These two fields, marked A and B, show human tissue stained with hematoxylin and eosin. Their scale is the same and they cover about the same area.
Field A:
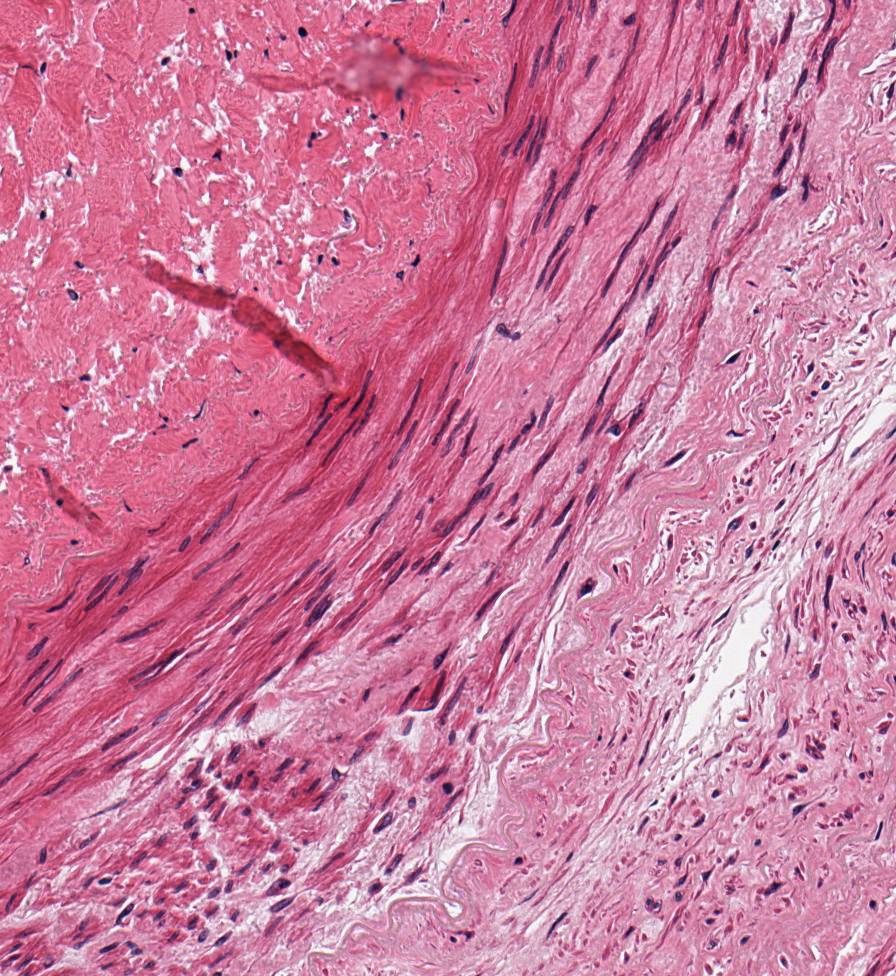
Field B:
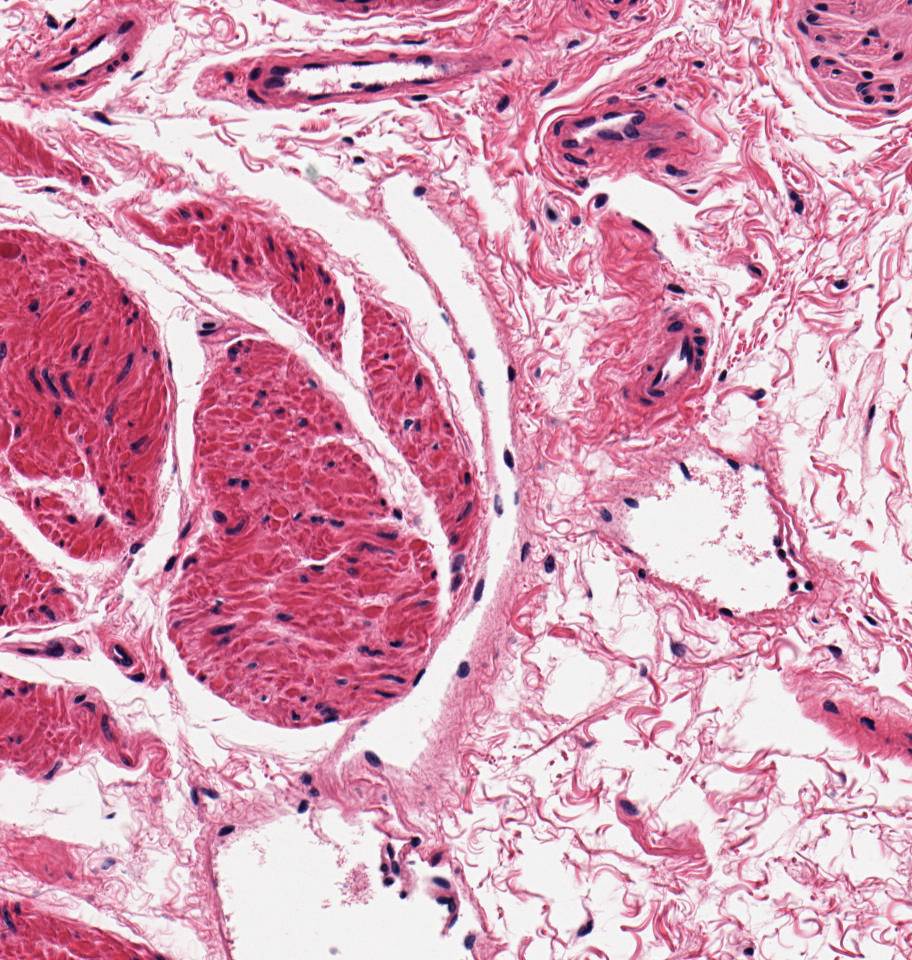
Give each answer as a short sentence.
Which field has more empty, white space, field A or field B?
Field B has more white space.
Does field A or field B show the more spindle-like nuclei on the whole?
The nuclei are more elongated in field A.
